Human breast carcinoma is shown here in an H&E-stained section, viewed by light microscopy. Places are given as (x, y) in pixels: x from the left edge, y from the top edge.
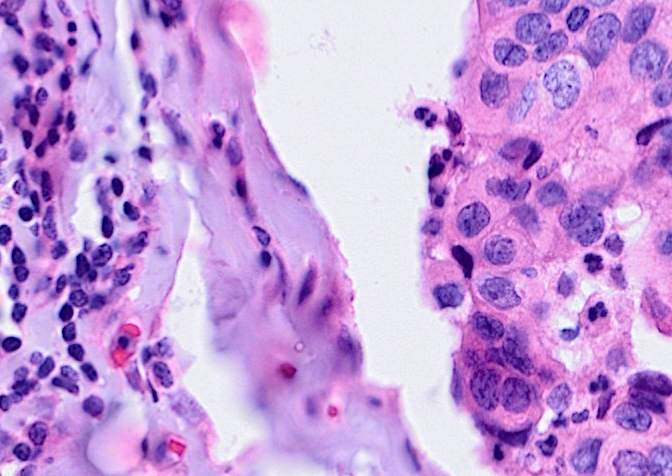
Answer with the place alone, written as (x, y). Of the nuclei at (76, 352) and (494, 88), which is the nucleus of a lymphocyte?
(76, 352)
